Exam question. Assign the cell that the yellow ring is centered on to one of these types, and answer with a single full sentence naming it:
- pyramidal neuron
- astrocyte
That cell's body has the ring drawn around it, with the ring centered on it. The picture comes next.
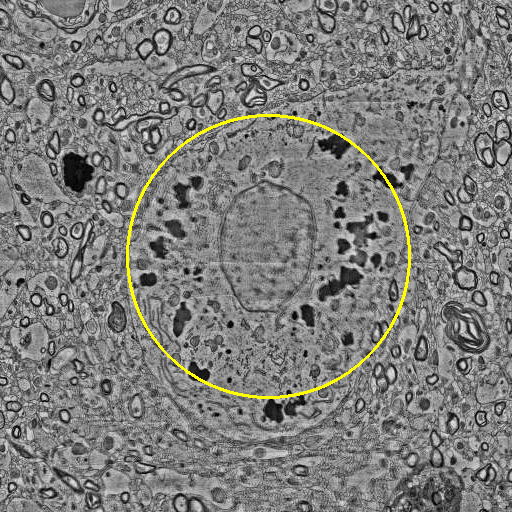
In the micrograph, the cell the yellow ring is centered on is a pyramidal neuron.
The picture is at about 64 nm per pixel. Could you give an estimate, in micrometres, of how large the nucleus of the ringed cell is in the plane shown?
In this plane the nucleus spans approximately 8 by 6 micrometers.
